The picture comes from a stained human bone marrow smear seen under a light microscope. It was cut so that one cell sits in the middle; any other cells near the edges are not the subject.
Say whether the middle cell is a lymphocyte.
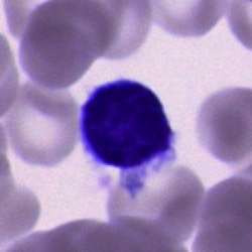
yes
